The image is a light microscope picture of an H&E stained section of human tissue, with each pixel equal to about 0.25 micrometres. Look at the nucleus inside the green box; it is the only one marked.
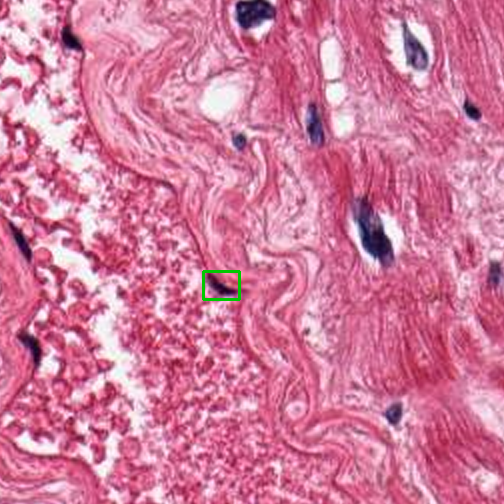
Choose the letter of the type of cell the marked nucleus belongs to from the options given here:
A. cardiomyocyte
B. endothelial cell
B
